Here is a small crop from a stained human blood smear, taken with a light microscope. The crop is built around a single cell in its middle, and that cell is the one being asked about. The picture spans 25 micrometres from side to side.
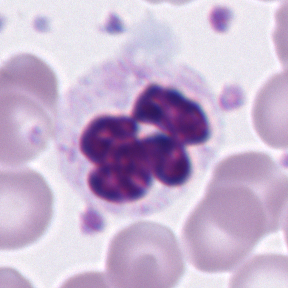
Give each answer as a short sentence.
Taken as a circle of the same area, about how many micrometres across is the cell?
Taken as a circle, the cell has a diameter of about 14 micrometres.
